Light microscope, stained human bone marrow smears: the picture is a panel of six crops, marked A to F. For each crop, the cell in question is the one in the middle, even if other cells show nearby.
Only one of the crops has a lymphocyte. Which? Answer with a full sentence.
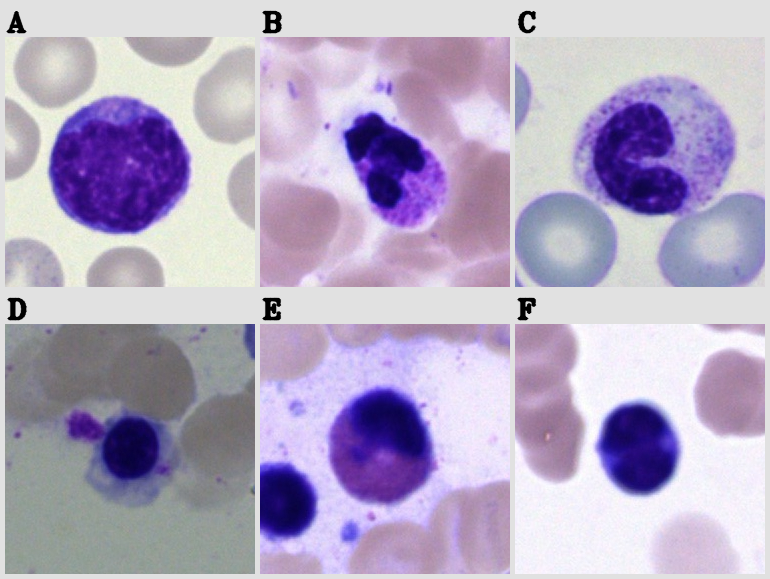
Crop F is the one depicting a lymphocyte.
